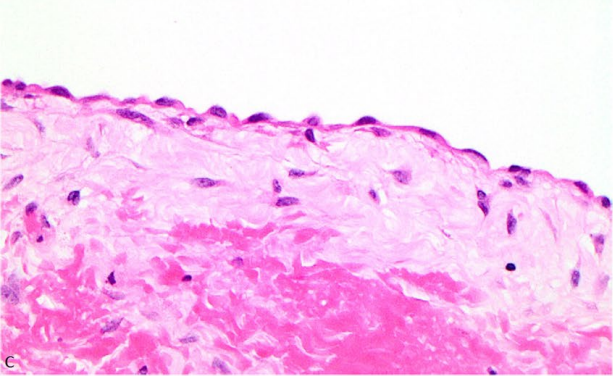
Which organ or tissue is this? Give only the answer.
loose fibrous stroma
